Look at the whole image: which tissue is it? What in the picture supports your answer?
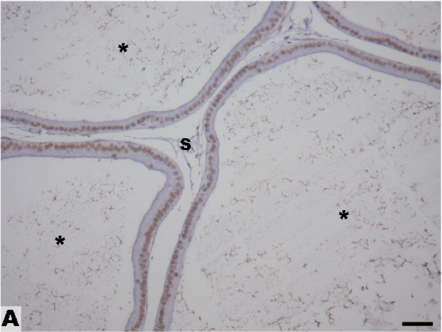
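Large glandular acini lined by a single epithelial layer. Lumina filled with flocculent secretion. Thin strands of connective tissue between acini.
Conclusion: ventral prostate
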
